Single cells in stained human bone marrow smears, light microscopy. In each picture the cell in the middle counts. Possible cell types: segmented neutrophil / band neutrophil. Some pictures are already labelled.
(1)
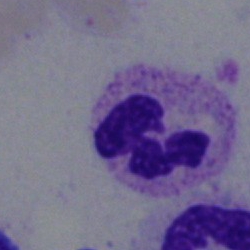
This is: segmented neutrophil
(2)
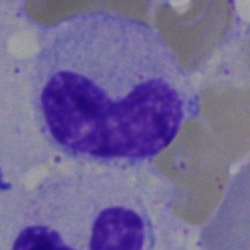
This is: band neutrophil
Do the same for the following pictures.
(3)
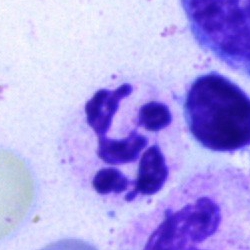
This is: segmented neutrophil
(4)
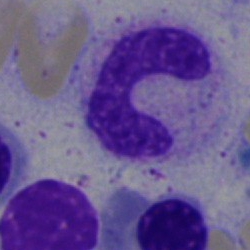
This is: band neutrophil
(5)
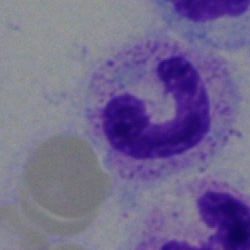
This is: segmented neutrophil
